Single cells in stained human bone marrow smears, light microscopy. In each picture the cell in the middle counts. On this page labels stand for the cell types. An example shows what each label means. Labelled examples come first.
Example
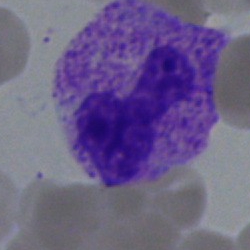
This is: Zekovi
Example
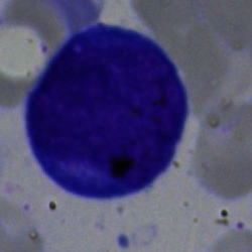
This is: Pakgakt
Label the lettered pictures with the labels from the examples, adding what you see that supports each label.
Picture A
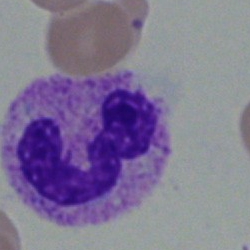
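Zekovi. The cytoplasm is plentiful and pale pinkish-lilac.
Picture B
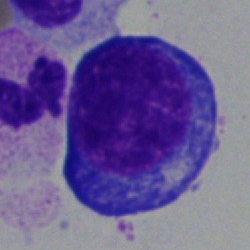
Pakgakt. The chromatin is finely granular rather than coarsely clumped.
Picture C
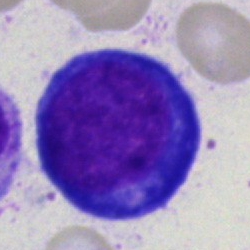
Pakgakt. The chromatin is finely textured rather than coarsely clumped.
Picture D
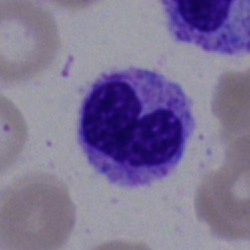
Zekovi. The chromatin is dark purple and coarsely clumped.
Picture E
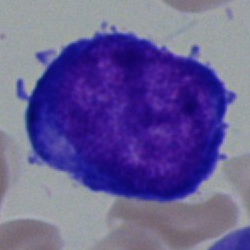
Pakgakt. The cytoplasm is scant and stained a deep blue.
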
